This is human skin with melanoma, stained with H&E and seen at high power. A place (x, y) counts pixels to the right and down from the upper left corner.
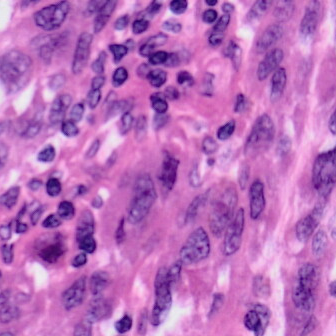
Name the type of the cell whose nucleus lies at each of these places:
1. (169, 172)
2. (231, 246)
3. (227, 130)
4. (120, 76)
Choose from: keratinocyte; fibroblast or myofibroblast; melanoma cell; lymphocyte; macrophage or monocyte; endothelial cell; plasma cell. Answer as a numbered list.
1. melanoma cell
2. melanoma cell
3. lymphocyte
4. lymphocyte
